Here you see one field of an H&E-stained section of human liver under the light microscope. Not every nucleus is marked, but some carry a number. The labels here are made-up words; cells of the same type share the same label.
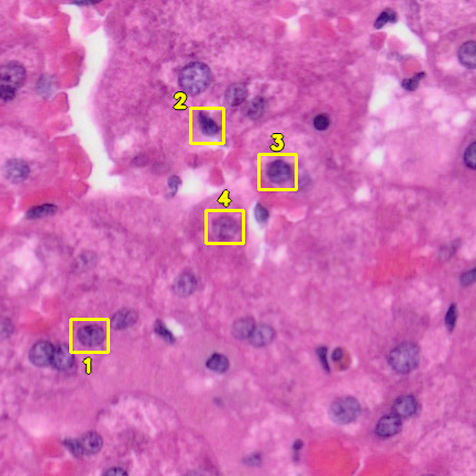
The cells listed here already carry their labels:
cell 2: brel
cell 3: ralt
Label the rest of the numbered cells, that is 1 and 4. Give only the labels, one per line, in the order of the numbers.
ralt
ralt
